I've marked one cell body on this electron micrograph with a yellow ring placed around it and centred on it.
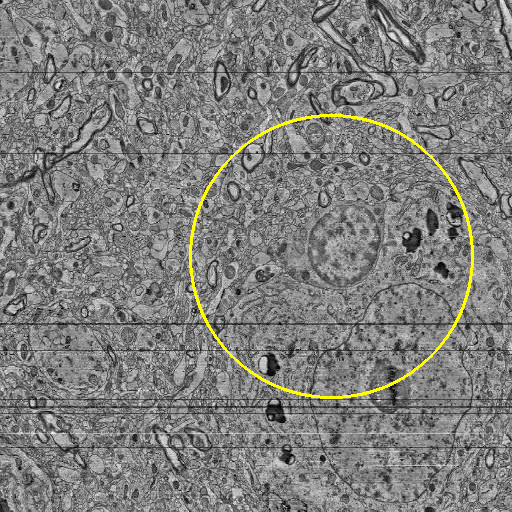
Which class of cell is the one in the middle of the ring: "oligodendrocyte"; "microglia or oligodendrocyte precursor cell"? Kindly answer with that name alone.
oligodendrocyte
